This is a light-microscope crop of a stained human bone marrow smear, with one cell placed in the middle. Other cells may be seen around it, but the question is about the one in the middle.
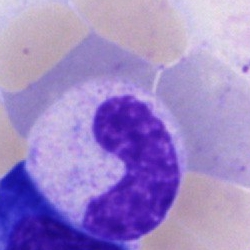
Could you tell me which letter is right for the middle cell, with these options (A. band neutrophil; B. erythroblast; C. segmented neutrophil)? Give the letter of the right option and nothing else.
A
